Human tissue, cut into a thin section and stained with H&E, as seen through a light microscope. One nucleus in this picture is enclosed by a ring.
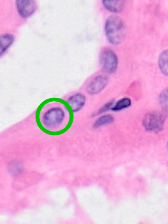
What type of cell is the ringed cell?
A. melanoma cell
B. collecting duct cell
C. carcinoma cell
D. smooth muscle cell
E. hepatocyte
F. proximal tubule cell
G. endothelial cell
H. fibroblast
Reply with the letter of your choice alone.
B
